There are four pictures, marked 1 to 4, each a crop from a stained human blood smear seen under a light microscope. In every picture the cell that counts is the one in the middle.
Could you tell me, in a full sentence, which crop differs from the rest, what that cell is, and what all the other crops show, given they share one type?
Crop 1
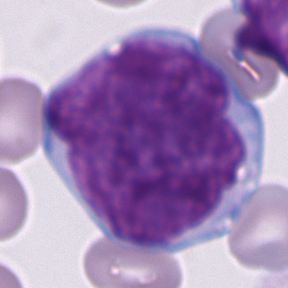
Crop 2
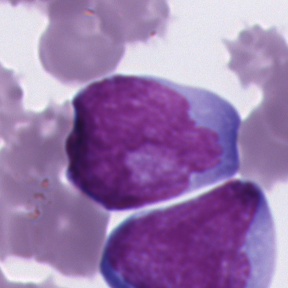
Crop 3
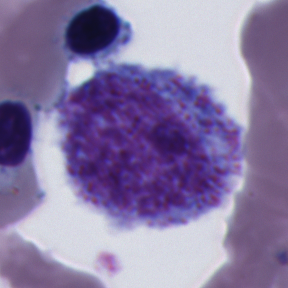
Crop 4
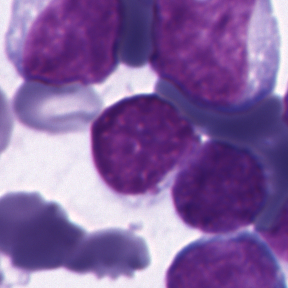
Seen in crop 3 is a promyelocyte, and seen in all other crops are myeloblasts.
